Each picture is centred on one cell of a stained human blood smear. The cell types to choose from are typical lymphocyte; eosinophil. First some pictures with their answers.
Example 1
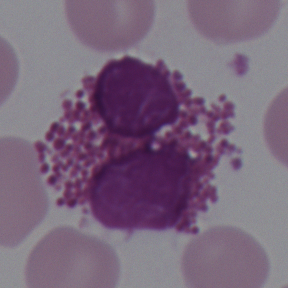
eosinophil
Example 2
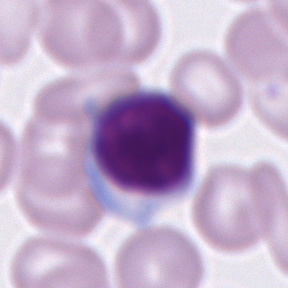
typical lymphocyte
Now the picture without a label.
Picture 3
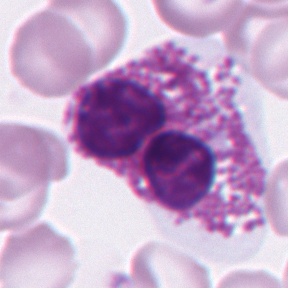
eosinophil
